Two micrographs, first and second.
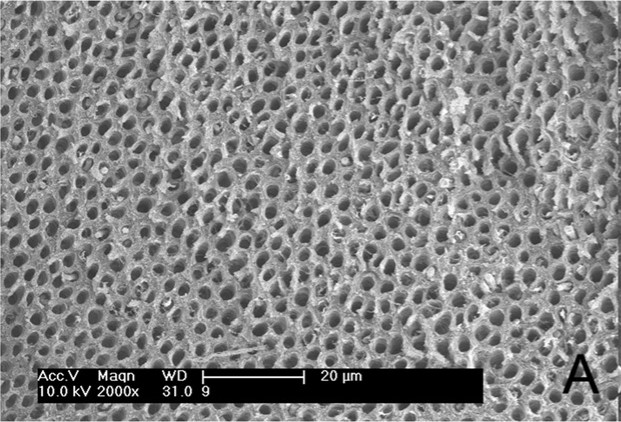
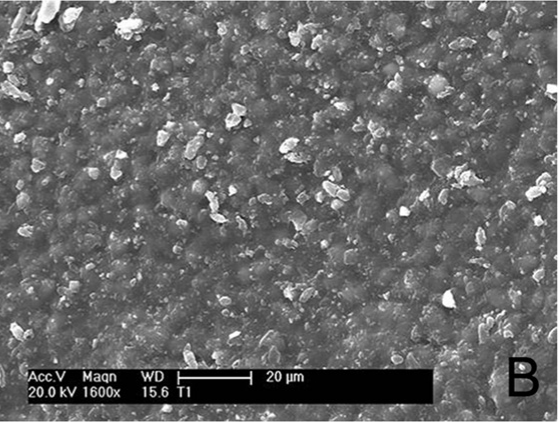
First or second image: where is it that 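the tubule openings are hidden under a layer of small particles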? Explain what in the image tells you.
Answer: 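Second image: a granular layer of small irregular particles covers the surface and no openings are seen. First image: the surface shows many open round pores with no covering layer.
Hence: the second image.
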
